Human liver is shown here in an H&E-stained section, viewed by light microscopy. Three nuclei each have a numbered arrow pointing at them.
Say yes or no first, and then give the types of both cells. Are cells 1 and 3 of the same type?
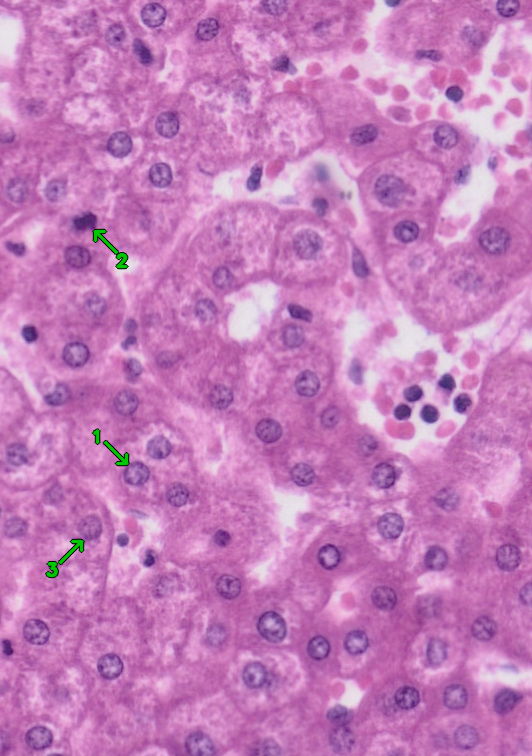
Yes, the pair of cells 1 and 3 are both hepatocytes.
